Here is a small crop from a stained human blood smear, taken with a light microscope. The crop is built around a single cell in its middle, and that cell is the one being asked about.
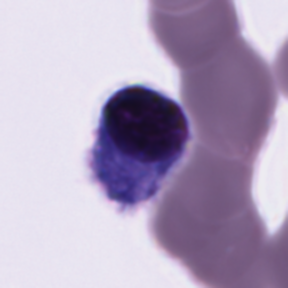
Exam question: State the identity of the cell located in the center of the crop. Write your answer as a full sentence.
What sits at the centre of this crop is a plasma cell.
